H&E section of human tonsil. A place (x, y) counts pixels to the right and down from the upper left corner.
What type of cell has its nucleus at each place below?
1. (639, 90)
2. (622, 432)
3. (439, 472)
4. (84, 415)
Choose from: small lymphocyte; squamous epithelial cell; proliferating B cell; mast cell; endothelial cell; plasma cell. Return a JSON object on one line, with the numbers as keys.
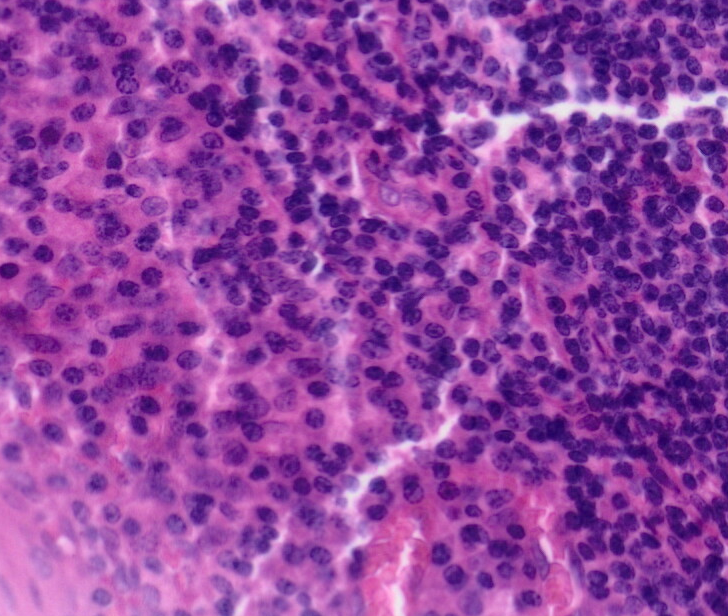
{"1": "small lymphocyte", "2": "small lymphocyte", "3": "plasma cell", "4": "plasma cell"}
